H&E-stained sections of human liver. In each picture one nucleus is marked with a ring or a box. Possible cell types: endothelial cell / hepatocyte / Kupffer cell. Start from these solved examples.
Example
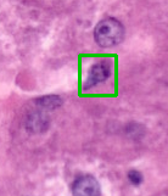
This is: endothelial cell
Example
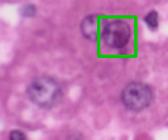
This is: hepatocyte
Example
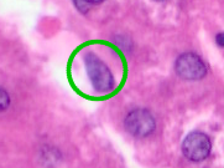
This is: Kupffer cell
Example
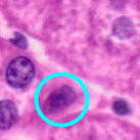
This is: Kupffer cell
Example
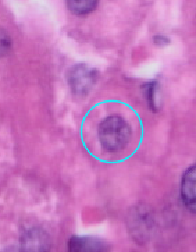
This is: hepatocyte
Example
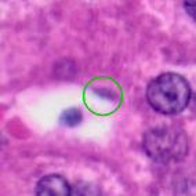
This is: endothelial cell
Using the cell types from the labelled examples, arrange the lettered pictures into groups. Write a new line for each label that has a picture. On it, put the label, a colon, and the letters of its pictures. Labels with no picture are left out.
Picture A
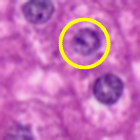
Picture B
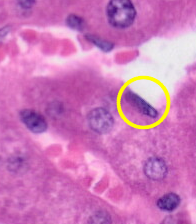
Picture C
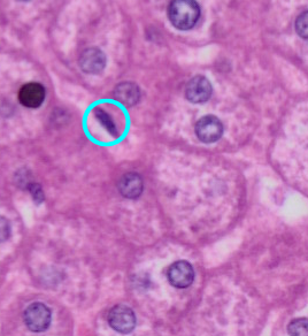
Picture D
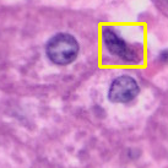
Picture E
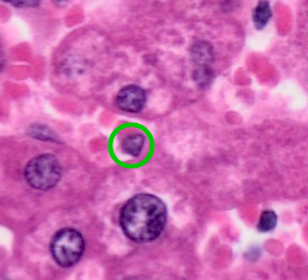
endothelial cell: B
hepatocyte: A
Kupffer cell: C, D, E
